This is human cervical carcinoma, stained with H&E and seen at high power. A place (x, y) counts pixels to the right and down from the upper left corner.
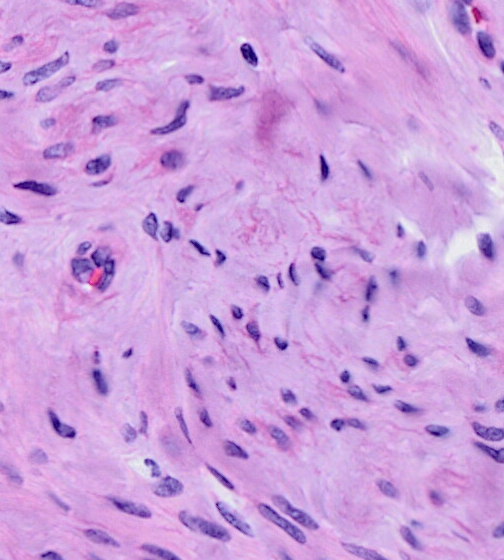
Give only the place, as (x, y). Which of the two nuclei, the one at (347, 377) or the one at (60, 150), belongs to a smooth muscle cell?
(60, 150)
